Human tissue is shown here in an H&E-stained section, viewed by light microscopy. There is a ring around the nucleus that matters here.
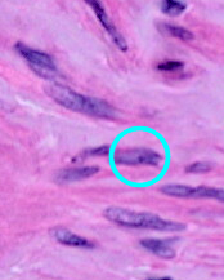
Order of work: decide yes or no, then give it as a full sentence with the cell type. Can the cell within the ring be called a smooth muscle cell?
Yes, calling the cell within the ring a smooth muscle cell is correct.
